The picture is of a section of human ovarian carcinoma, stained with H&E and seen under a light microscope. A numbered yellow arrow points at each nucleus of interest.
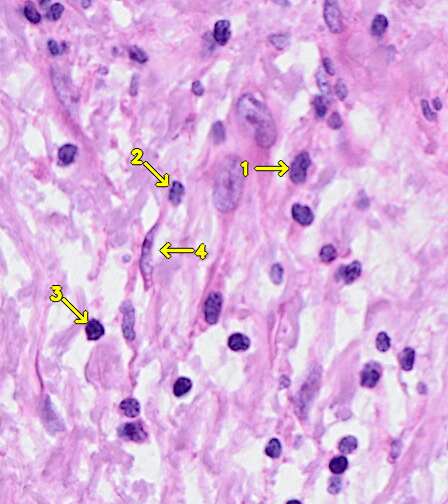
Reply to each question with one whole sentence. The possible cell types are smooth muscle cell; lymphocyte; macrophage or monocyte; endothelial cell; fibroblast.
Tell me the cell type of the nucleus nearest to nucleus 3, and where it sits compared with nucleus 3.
The nearest one is a macrophage or monocyte, found to the right of nucleus 3.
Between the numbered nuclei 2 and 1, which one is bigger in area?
At about 2 times the area of nucleus 2, nucleus 1 is the larger of the two.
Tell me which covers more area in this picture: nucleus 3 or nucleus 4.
It is nucleus 4, which covers about 1.5 times the area of nucleus 3.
